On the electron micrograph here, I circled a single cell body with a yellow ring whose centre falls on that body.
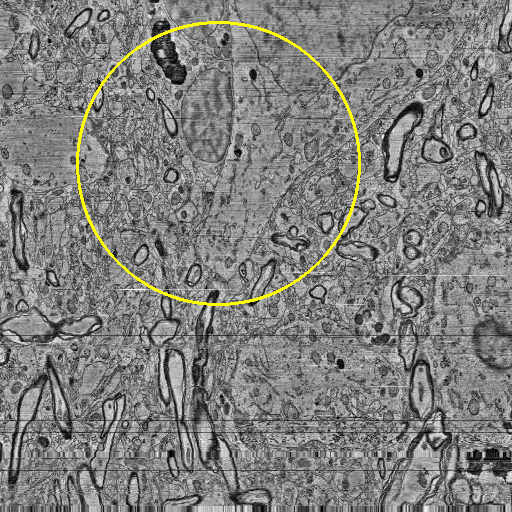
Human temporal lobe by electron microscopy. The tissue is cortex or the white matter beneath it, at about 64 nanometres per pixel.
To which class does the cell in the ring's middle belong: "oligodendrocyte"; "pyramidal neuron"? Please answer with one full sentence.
In this picture, the cell body circled at the ring's centre belongs to an oligodendrocyte.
